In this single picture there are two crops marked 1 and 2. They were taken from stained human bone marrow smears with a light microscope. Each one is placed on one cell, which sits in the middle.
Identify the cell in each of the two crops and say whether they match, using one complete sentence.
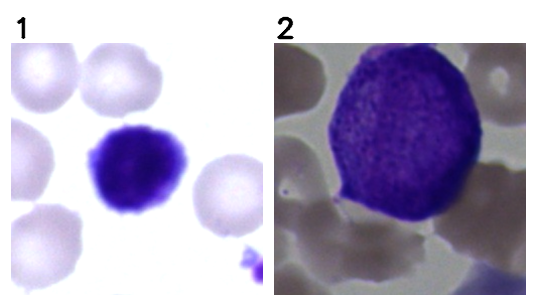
No, crop 1 is home to a lymphocyte, and crop 2 to a blast.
